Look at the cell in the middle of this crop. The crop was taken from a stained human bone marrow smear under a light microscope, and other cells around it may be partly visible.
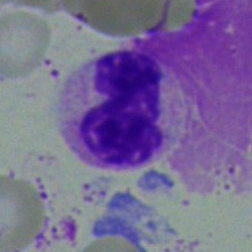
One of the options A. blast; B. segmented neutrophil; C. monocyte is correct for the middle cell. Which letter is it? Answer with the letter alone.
B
